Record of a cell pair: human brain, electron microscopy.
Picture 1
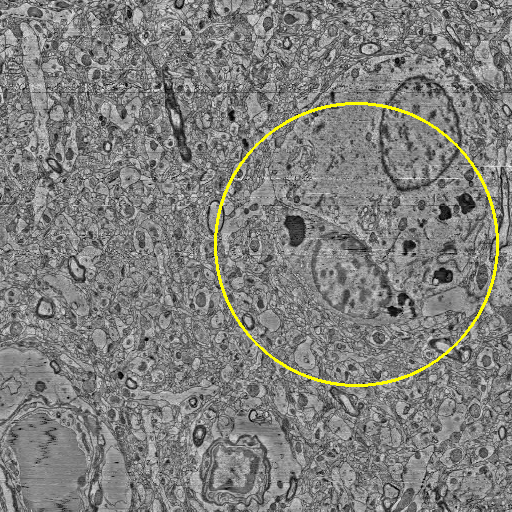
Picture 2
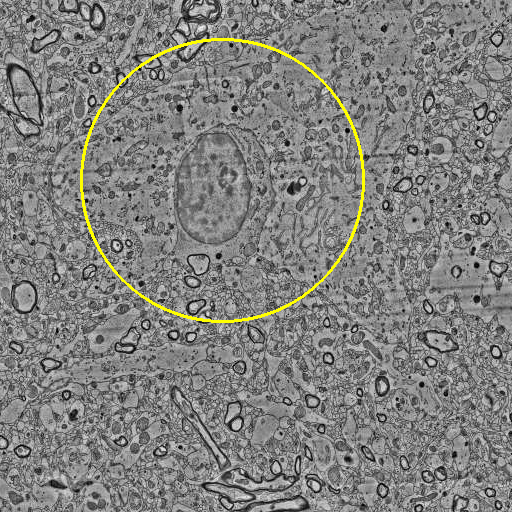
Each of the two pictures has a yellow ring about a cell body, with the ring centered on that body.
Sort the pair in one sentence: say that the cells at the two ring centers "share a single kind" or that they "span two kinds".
The cells centered in the rings of Pictures 1 and 2 share a single kind.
